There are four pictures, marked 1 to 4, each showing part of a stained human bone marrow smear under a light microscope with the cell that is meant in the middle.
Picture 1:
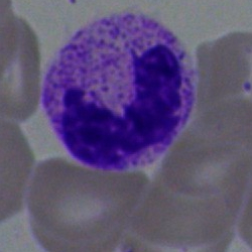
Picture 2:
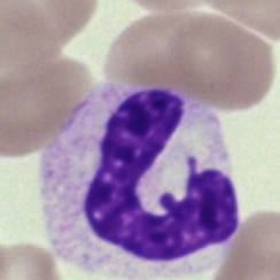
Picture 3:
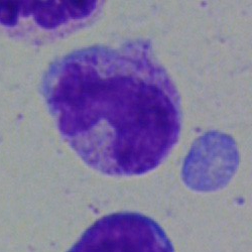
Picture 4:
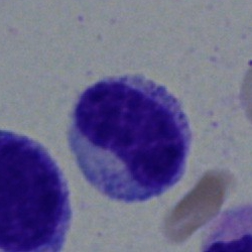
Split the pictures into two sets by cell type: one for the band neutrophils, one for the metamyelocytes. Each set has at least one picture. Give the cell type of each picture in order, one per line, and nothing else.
band neutrophil
band neutrophil
band neutrophil
metamyelocyte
